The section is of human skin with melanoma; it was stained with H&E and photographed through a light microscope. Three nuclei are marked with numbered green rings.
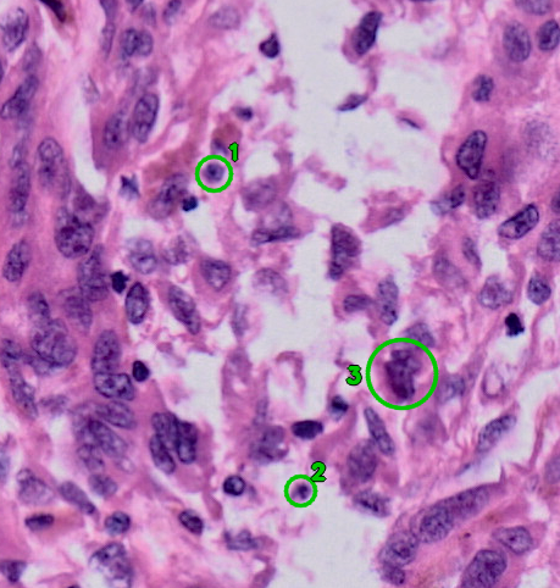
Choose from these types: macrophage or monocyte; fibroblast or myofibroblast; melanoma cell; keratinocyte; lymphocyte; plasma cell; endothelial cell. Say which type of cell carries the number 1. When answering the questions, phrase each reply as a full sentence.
That cell with number 1 is a lymphocyte.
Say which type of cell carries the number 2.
Cell 2 should be recorded as a lymphocyte.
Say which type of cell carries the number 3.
The correct label for cell 3 is a melanoma cell.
